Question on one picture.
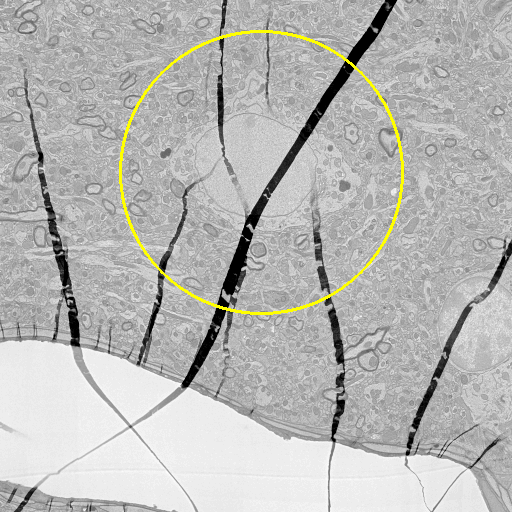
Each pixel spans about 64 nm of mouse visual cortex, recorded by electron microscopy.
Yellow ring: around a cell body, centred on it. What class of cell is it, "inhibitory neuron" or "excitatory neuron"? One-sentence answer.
This is an excitatory neuron, the cell the ring is centred on.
